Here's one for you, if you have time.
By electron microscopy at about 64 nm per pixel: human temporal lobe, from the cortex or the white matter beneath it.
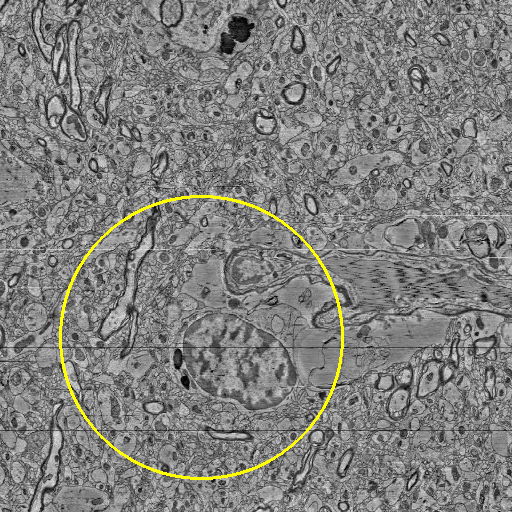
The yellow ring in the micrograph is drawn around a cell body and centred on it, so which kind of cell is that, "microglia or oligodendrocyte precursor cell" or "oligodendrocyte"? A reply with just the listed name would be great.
microglia or oligodendrocyte precursor cell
